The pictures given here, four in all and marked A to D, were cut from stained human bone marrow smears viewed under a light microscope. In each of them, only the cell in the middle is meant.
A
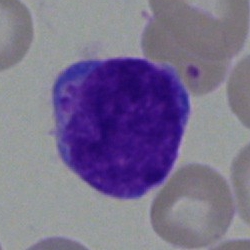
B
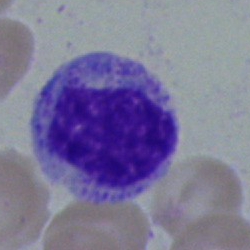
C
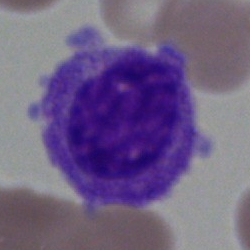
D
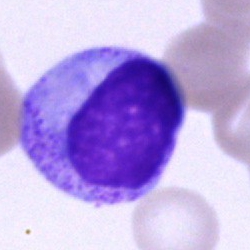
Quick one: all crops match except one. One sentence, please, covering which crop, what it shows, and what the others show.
Crop A differs from its companions, showing a blast where they show myelocytes.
